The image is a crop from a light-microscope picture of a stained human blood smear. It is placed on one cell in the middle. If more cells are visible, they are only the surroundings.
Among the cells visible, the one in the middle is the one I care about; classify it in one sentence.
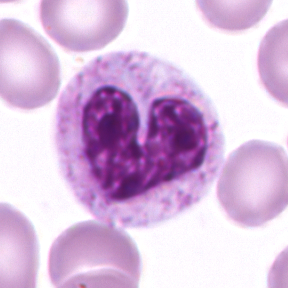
At the center of the crop sits a band neutrophil.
